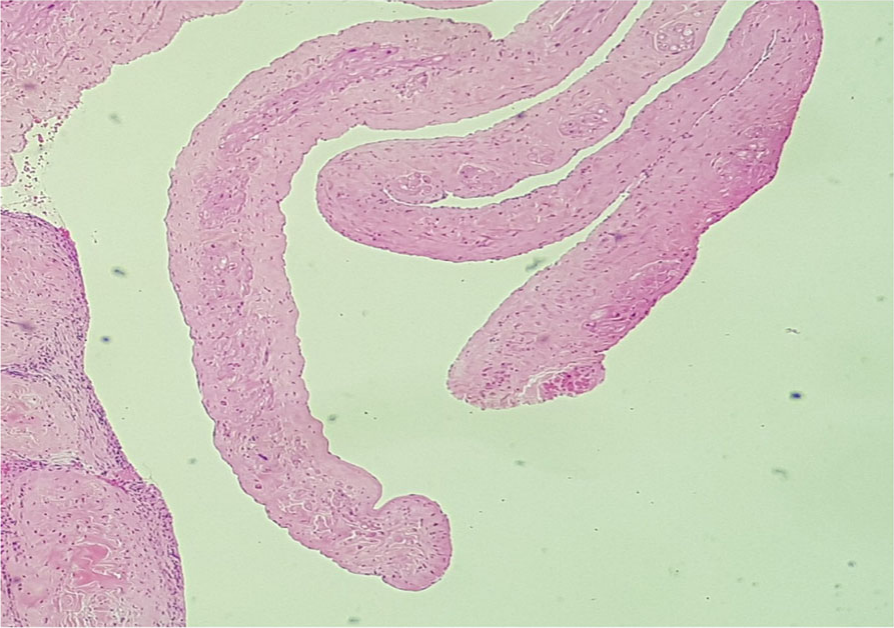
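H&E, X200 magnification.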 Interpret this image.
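Several long, slender, finger-like papillary fronds curve and branch into empty space, ending in rounded free tips. Each frond has a pale pink, loose, fibrillar core of connective tissue with only scattered small, dark nuclei, and the core holds little in the way of obvious vessels. The surface of each frond is smooth and lined by a thin layer of flattened cells with no piling up. At the left edge, denser pink tissue with more nuclei is seen, probably near where the fronds attach.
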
